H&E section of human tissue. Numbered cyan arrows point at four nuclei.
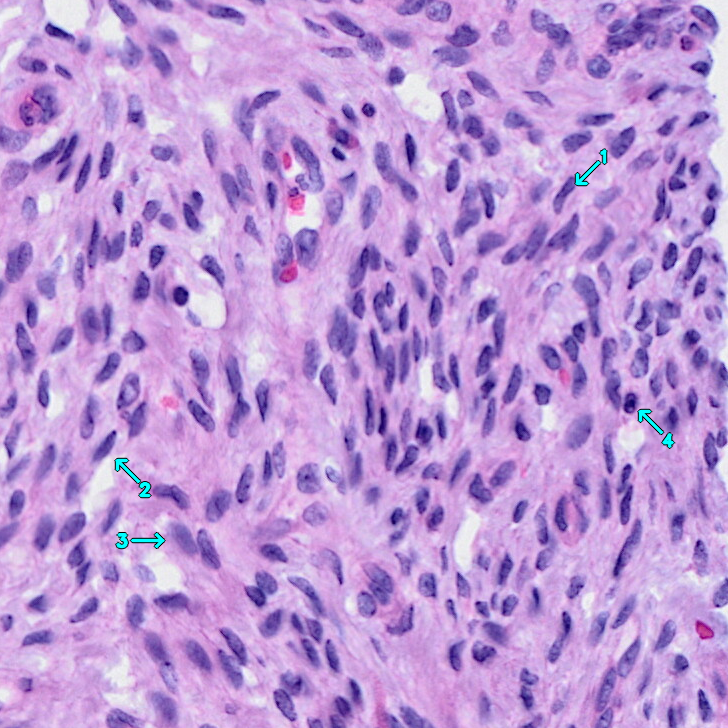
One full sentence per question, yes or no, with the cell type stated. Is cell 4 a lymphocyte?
Yes, the cell bearing the number 4 is a lymphocyte.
